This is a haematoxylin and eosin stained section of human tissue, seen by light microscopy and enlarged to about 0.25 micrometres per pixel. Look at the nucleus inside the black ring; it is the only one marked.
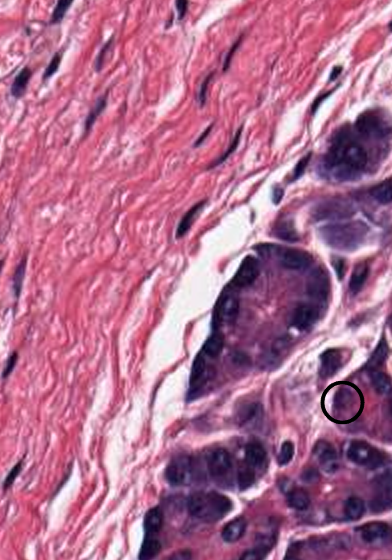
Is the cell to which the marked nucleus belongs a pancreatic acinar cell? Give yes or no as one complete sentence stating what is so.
Yes, within this field the marked nucleus is that of a pancreatic acinar cell.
